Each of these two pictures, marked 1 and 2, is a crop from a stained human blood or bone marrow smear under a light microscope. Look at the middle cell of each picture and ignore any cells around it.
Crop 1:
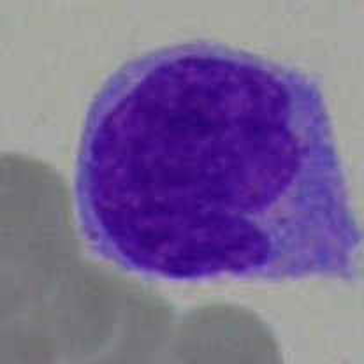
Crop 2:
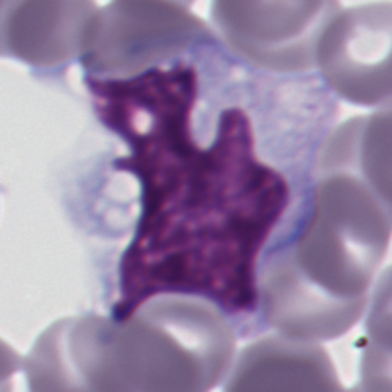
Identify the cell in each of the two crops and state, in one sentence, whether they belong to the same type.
Yes, monocytes are centred in both crops.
